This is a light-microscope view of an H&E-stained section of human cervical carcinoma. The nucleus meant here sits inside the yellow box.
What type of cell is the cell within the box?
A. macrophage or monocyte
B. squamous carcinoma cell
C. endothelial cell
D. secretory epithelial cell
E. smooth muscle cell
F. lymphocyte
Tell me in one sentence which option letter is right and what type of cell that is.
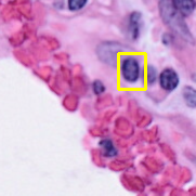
Among the choices, option F is correct, the cell within the box being a lymphocyte.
